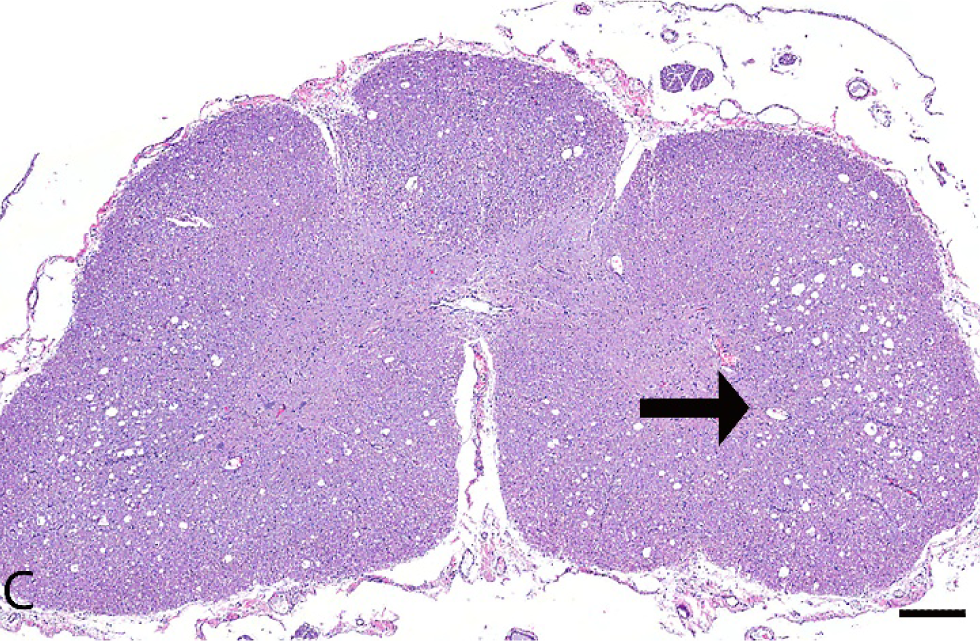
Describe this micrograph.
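A transverse section of spinal cord at low magnification shows white matter of the dorsal, lateral and ventral funiculi riddled with round, clear vacuoles of varying size. The vacuoles are most numerous in the lateral and ventral parts of the section, giving the purple-stained tissue a sieve-like look. A deep ventral median fissure divides the ventral half, and the thin, loose meninges with small blood vessels surround the cord.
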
